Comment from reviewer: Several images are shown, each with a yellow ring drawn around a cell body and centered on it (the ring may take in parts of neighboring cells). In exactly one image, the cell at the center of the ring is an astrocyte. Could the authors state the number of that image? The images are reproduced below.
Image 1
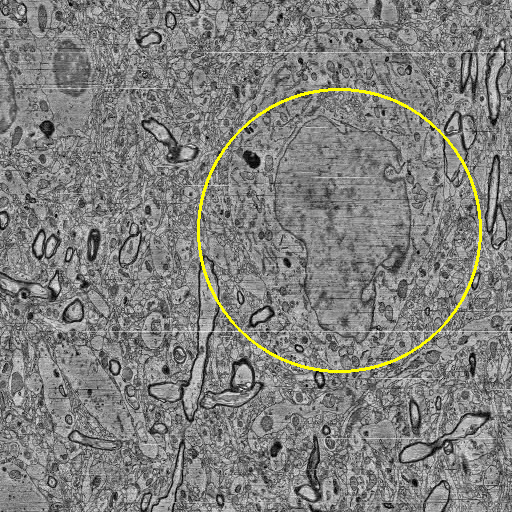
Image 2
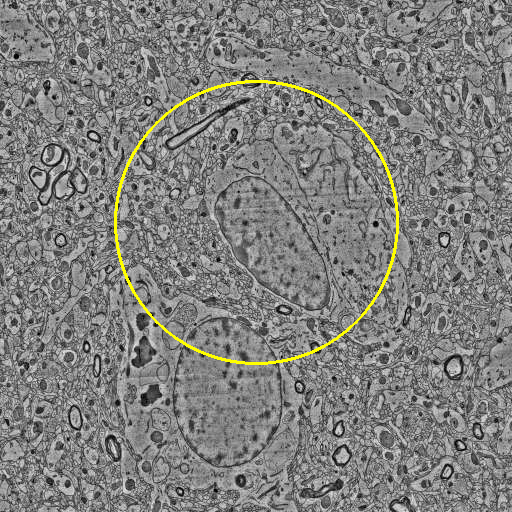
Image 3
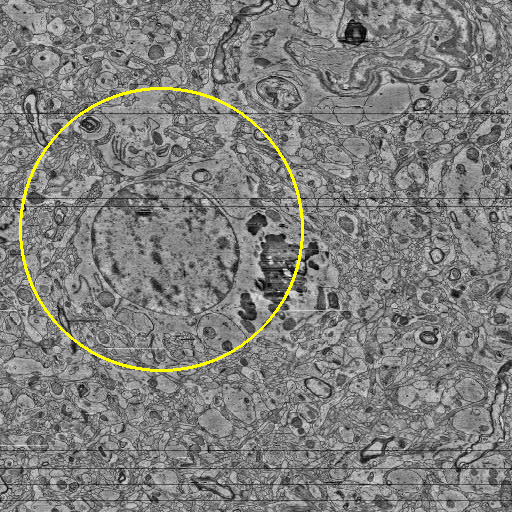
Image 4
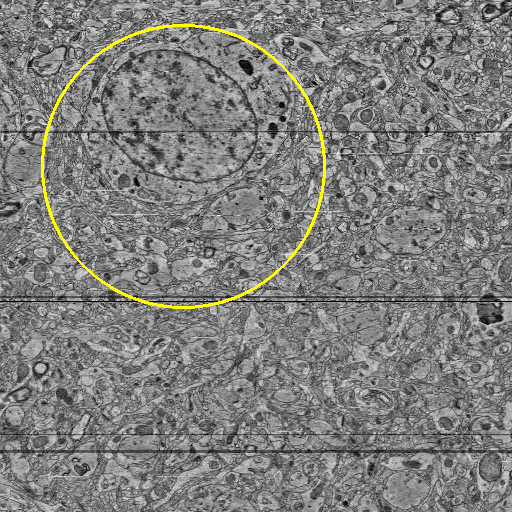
3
